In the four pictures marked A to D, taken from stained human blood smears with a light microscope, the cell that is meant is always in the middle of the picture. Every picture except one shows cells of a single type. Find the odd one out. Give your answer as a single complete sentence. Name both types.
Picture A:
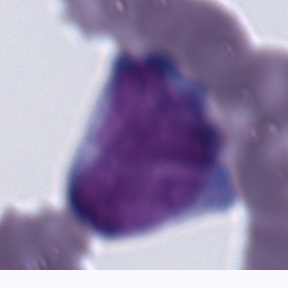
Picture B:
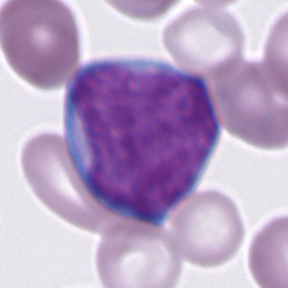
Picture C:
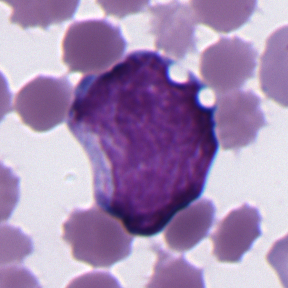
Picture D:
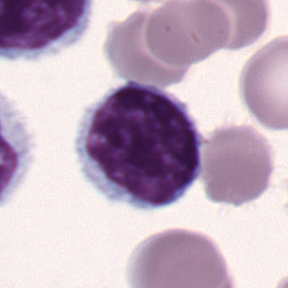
Picture D is the odd one out: it shows a typical lymphocyte, while the others show myeloblasts.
